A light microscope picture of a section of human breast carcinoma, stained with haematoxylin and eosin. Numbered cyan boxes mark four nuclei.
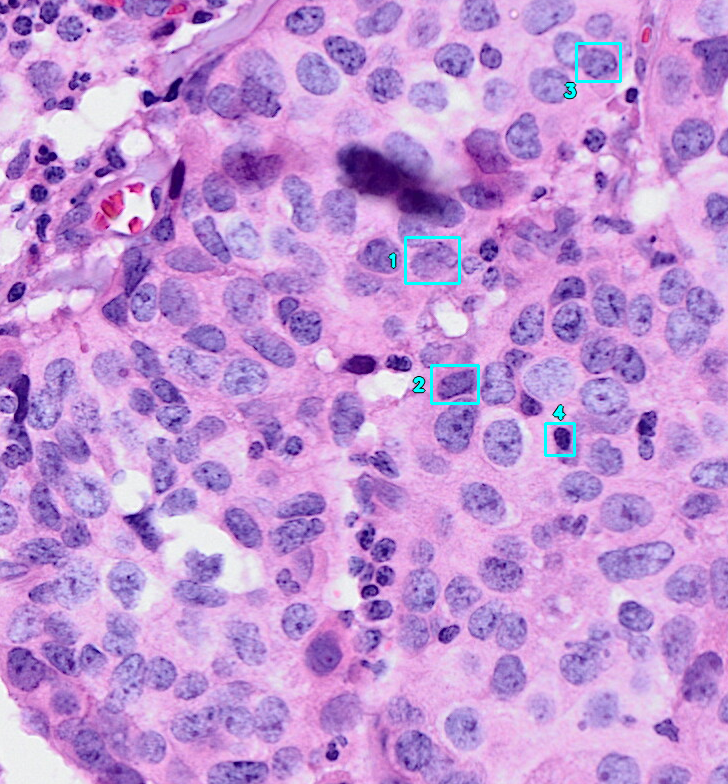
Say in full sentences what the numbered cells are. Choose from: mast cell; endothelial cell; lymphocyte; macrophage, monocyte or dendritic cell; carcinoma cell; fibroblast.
Cell 1 is a carcinoma cell, cell 2 is a carcinoma cell, cell 3 is a carcinoma cell and cell 4 is a lymphocyte.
